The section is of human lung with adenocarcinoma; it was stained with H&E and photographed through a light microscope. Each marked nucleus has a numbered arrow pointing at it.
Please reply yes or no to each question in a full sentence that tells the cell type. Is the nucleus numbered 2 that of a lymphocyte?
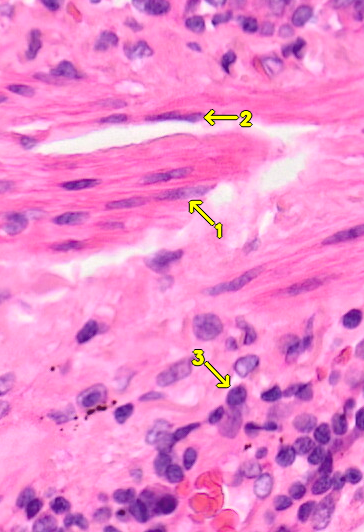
No, the one with number 2 is a smooth muscle cell or pericyte, not a lymphocyte.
